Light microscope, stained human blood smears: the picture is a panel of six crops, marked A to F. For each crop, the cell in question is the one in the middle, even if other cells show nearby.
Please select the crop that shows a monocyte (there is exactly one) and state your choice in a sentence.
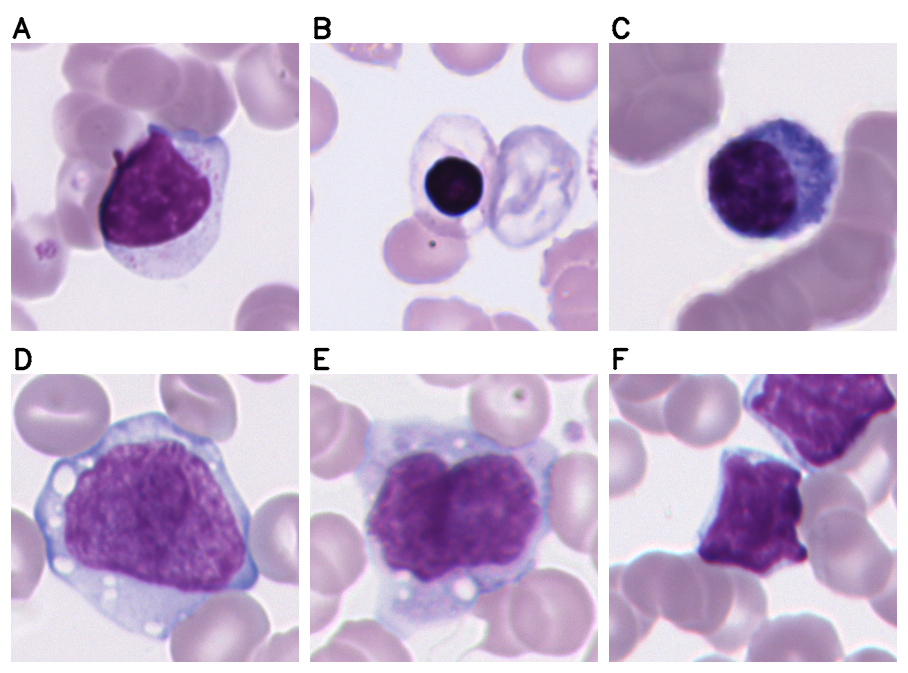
Crop E is the crop whose central cell is a monocyte.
